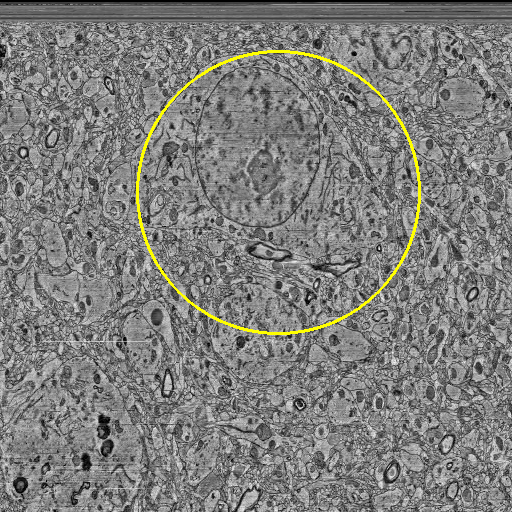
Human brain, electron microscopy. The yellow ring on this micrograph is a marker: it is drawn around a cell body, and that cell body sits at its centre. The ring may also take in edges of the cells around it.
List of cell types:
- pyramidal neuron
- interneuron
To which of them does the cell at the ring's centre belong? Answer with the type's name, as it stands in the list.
pyramidal neuron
